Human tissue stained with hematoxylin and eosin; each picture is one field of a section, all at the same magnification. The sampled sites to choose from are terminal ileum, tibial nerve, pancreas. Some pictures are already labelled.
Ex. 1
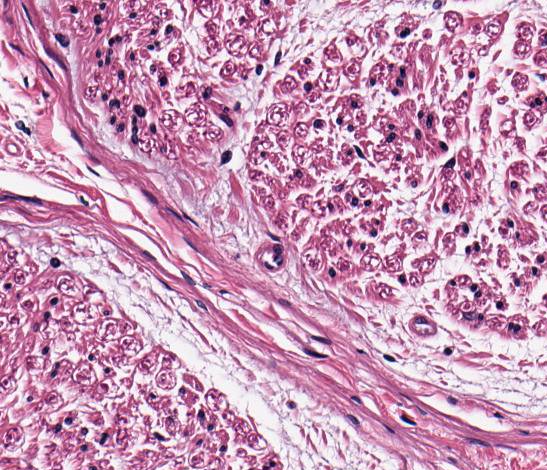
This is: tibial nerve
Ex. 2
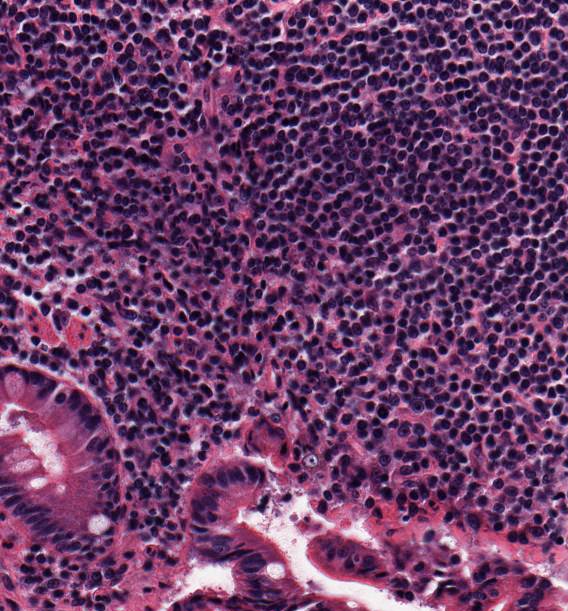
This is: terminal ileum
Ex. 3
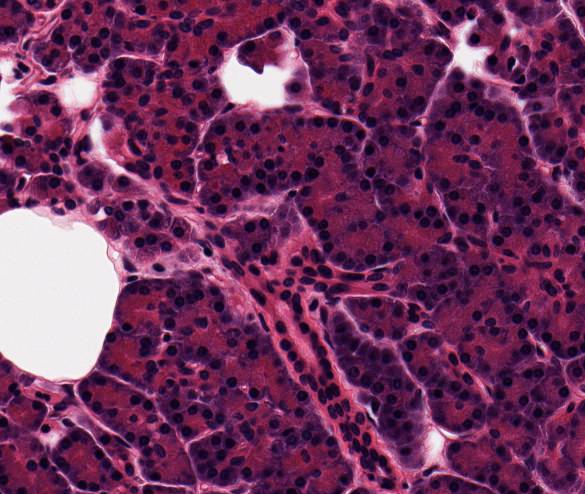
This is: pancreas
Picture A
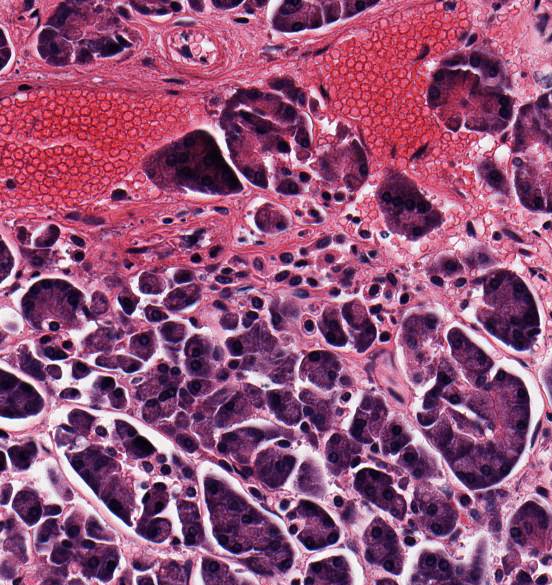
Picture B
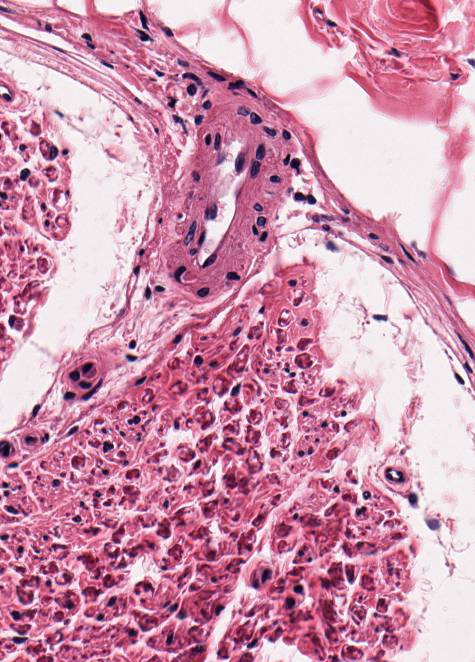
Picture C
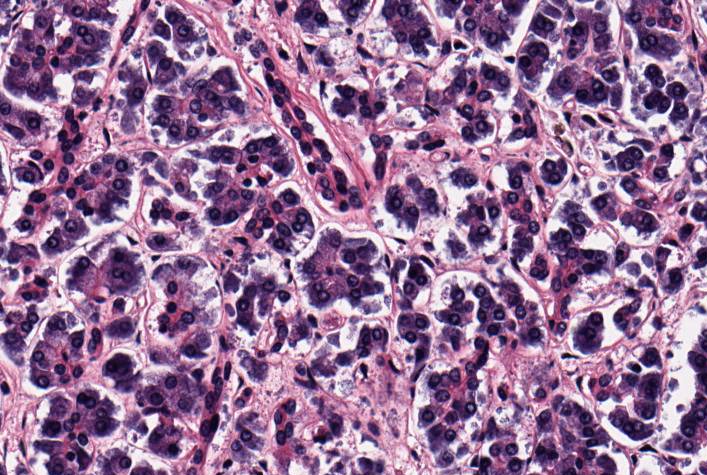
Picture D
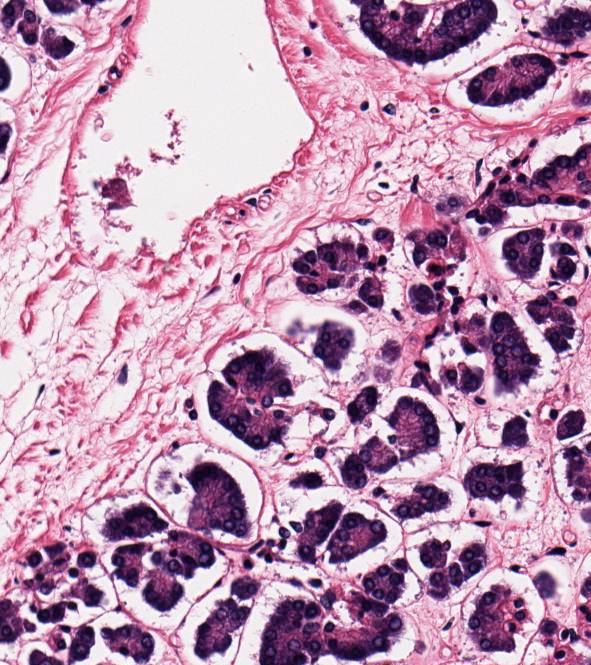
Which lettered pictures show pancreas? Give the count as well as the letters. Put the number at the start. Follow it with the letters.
3, namely A, C, D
